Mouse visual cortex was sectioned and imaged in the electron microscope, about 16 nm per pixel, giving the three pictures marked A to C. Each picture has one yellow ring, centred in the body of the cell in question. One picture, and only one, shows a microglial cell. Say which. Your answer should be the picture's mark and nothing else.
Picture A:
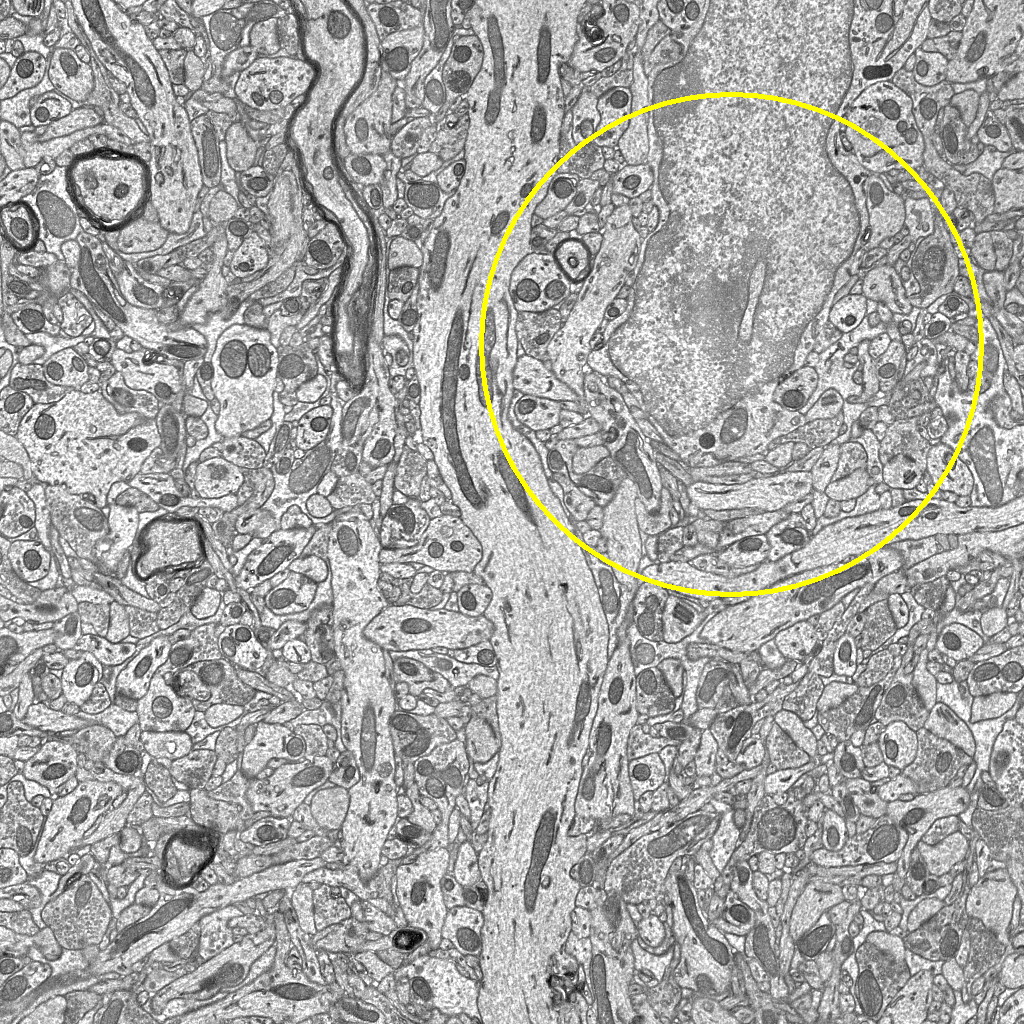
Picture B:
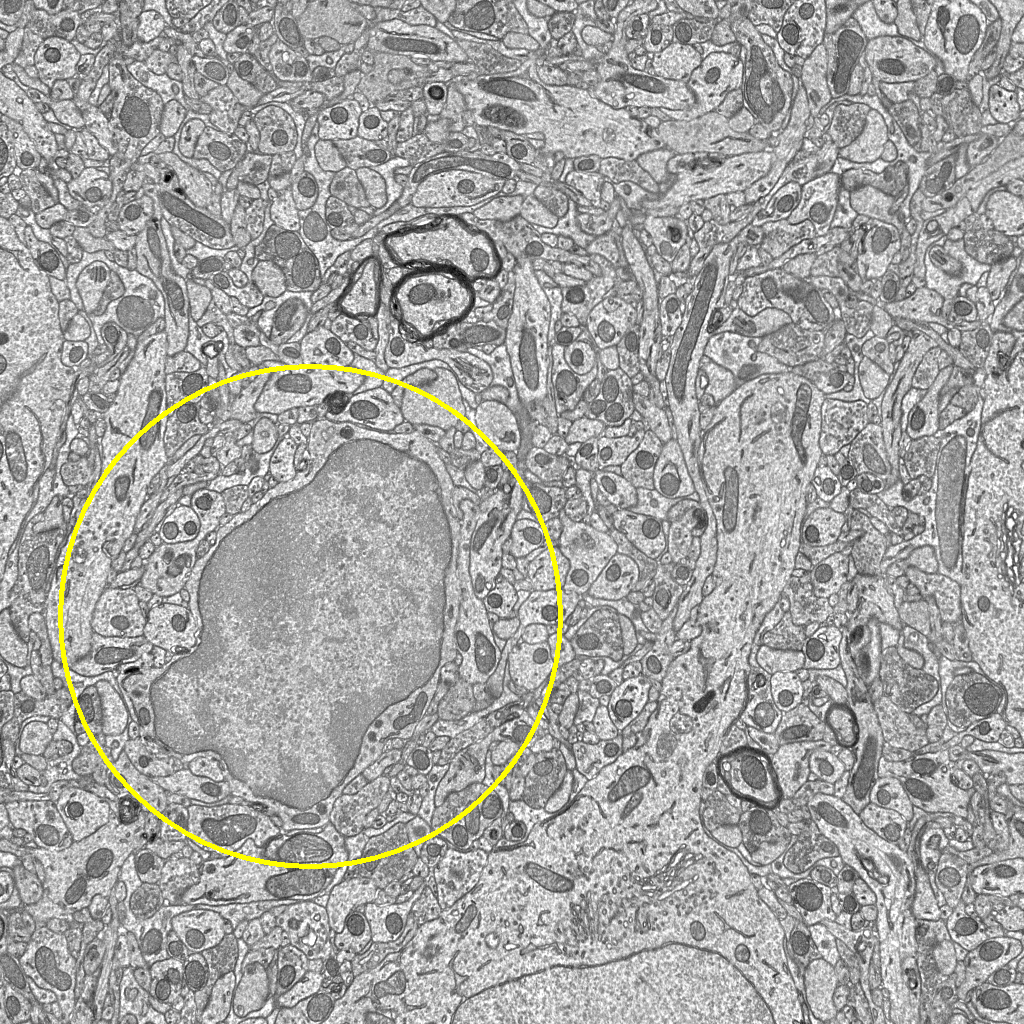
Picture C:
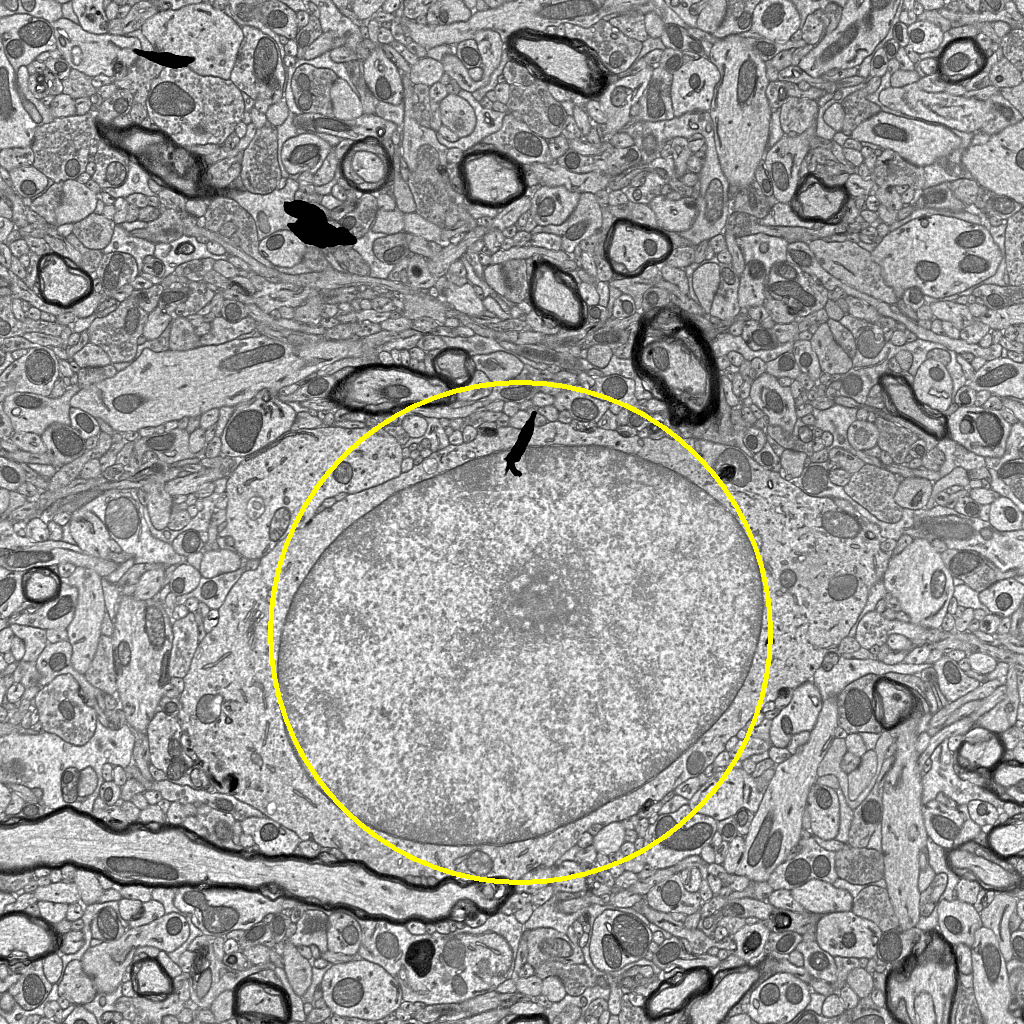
B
